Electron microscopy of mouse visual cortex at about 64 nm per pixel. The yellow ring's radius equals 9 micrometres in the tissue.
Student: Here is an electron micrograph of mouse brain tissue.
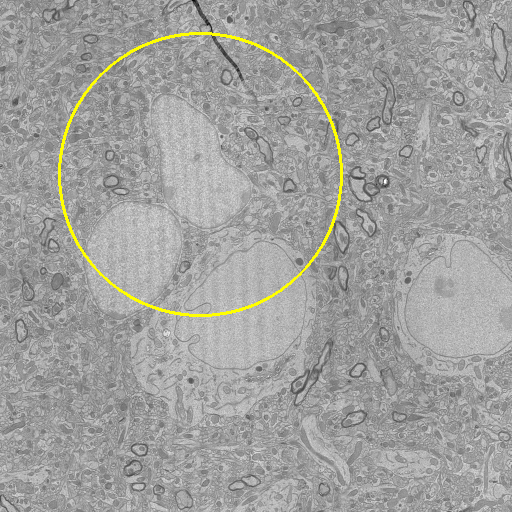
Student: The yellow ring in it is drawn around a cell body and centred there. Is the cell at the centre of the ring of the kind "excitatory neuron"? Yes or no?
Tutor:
no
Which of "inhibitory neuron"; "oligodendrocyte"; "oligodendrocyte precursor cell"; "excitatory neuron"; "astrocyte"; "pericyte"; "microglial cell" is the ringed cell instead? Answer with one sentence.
The ringed cell in this picture is, instead, an astrocyte.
